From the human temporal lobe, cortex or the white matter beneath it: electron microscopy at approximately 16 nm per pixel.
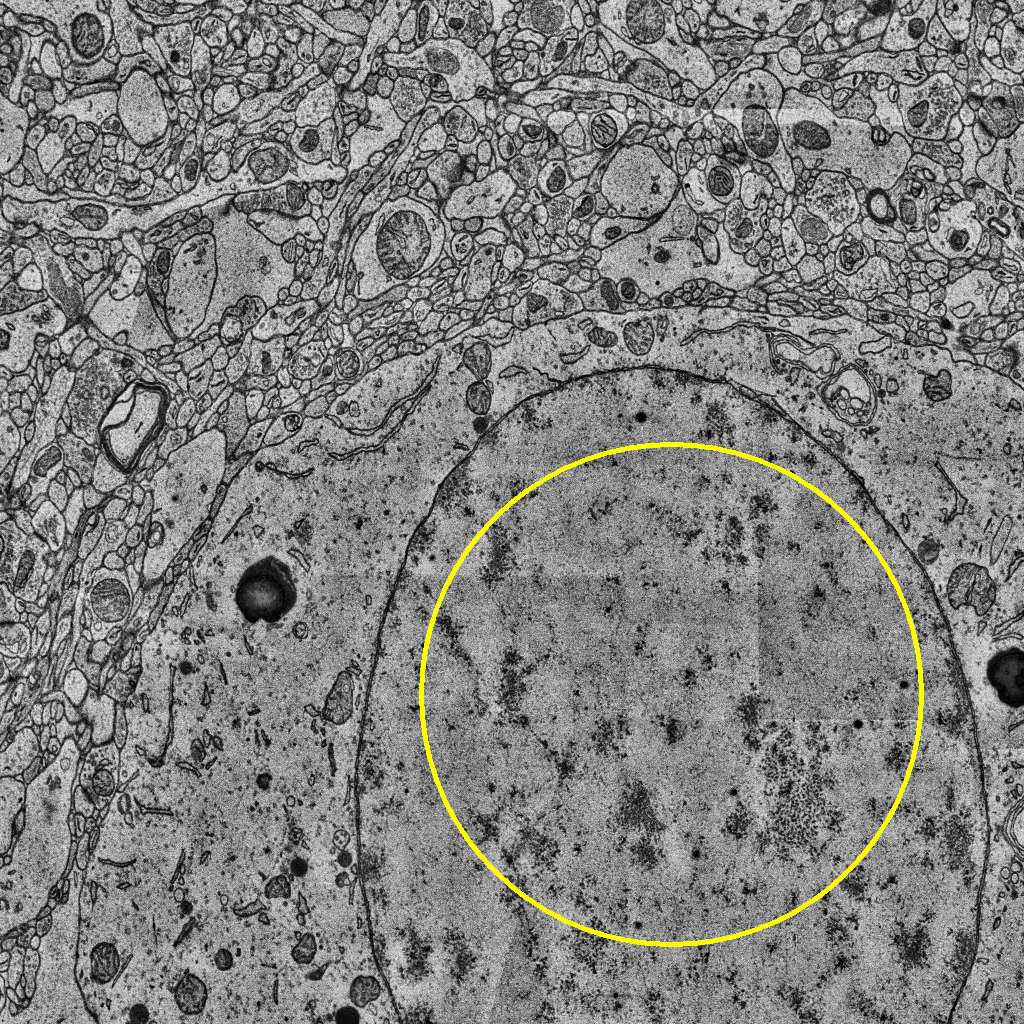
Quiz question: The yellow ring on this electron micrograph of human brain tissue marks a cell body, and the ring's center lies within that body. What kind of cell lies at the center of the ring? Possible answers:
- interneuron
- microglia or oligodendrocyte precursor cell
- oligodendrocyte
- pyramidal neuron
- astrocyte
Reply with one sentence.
The ring's center lies on a pyramidal neuron.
